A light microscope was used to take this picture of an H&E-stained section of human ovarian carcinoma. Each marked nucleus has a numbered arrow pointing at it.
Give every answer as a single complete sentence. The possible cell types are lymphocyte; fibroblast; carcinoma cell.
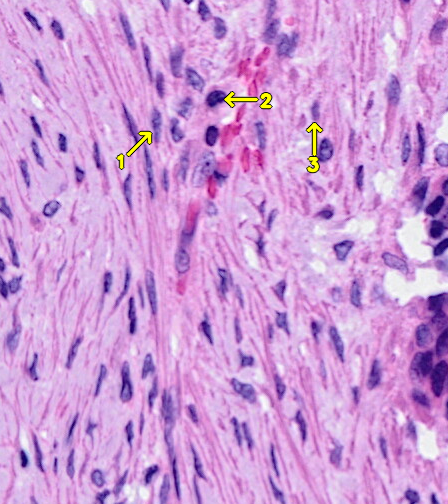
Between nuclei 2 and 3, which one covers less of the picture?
The smaller nucleus is 3, and 2 covers roughly 1.5 times its area.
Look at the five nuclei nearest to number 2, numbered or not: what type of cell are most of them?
The majority of the five nuclei closest to number 2 belong to fibroblasts.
